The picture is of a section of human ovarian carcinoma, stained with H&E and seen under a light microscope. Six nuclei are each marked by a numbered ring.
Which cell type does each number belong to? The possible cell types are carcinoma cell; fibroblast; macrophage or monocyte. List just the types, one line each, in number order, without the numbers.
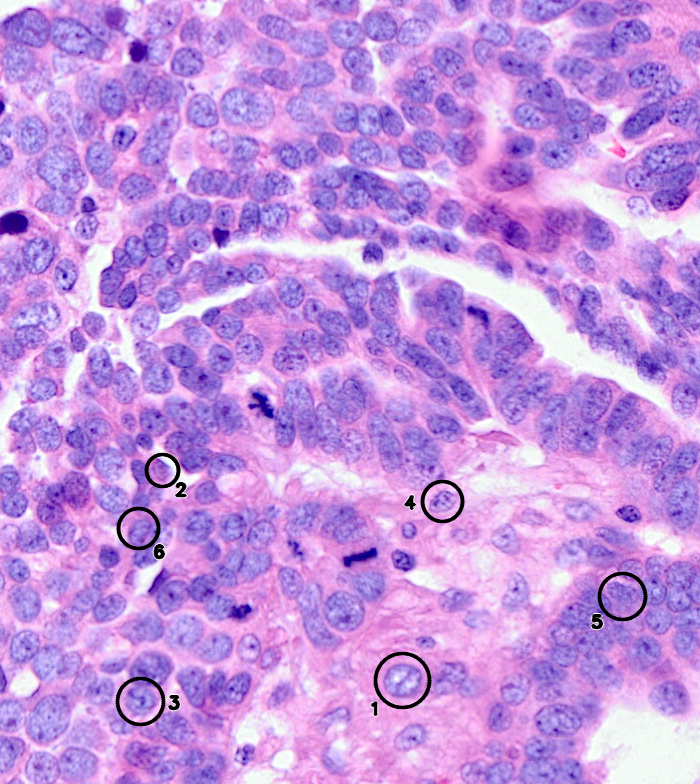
fibroblast
carcinoma cell
carcinoma cell
macrophage or monocyte
carcinoma cell
carcinoma cell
